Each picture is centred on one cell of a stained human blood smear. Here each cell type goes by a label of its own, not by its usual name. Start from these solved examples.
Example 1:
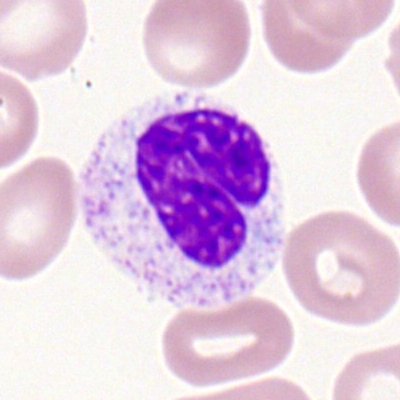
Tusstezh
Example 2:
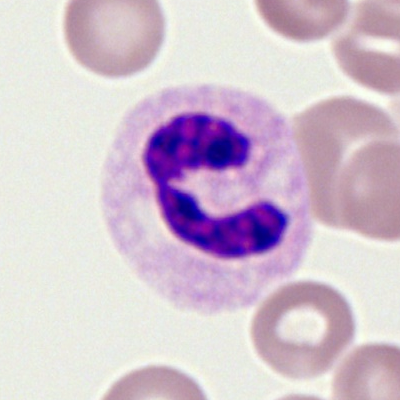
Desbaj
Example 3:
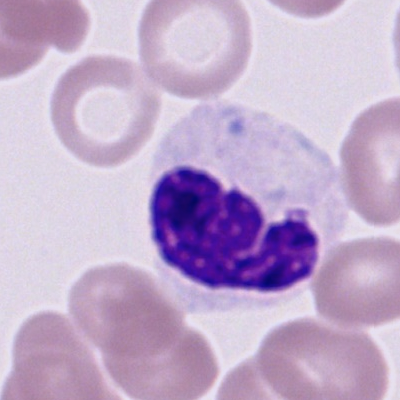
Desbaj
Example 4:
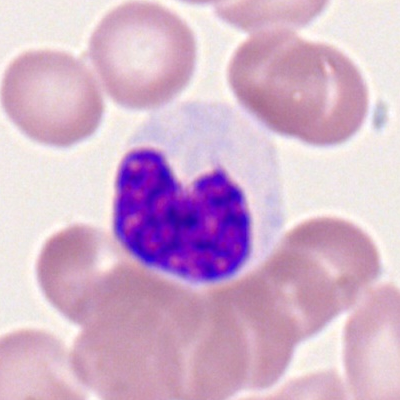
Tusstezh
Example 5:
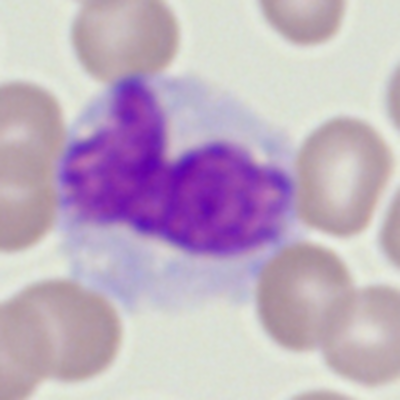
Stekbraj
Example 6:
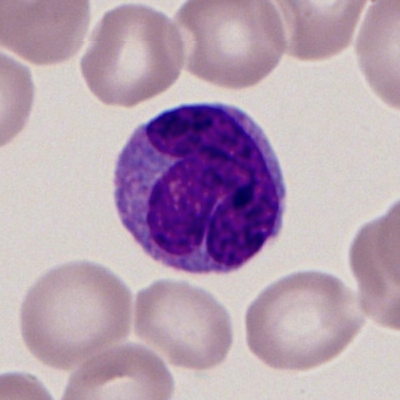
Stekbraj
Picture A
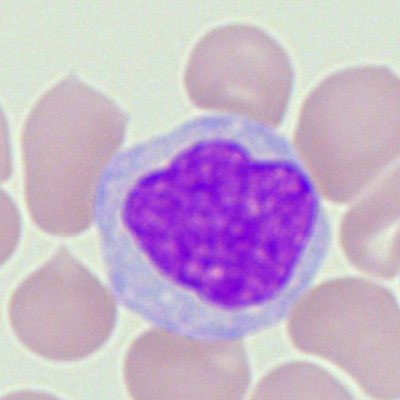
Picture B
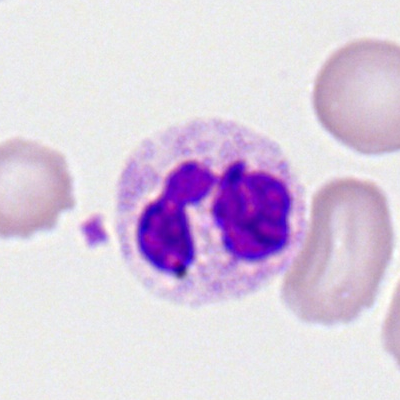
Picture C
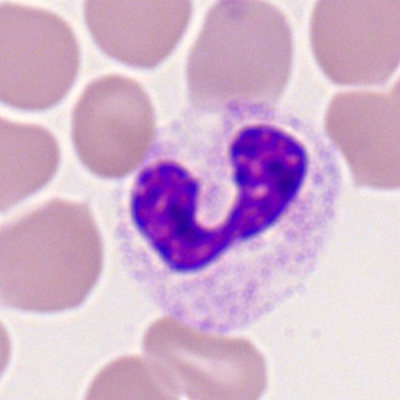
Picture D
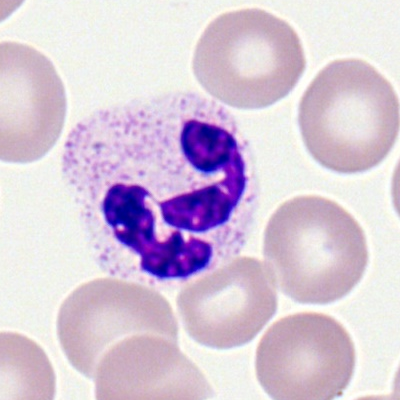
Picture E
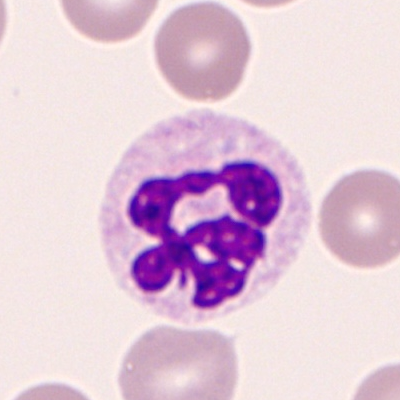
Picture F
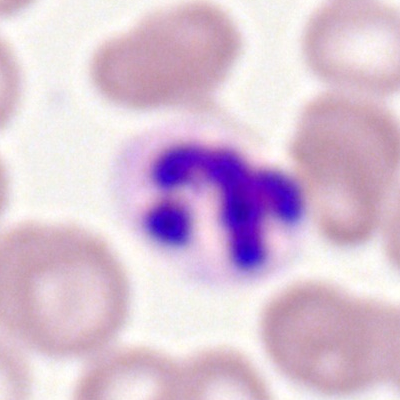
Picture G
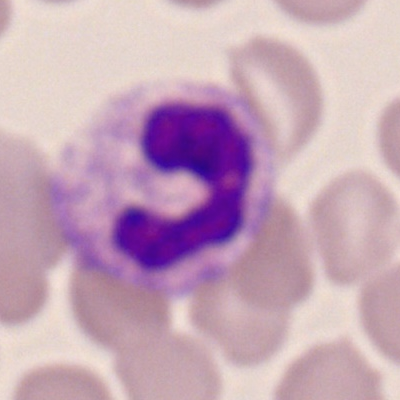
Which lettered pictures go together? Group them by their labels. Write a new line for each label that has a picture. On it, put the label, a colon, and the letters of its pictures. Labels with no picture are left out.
Tusstezh: C, G
Desbaj: B, D, E, F
Stekbraj: A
